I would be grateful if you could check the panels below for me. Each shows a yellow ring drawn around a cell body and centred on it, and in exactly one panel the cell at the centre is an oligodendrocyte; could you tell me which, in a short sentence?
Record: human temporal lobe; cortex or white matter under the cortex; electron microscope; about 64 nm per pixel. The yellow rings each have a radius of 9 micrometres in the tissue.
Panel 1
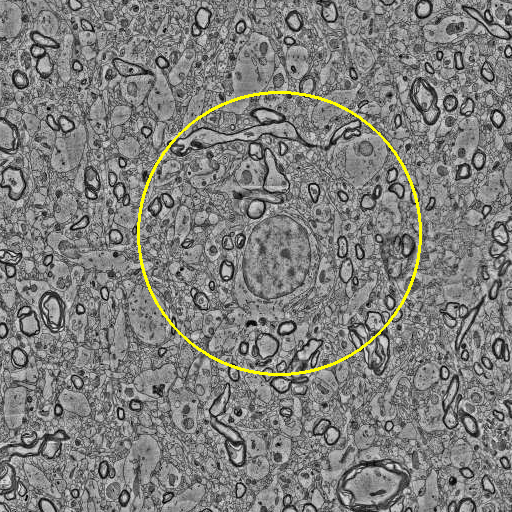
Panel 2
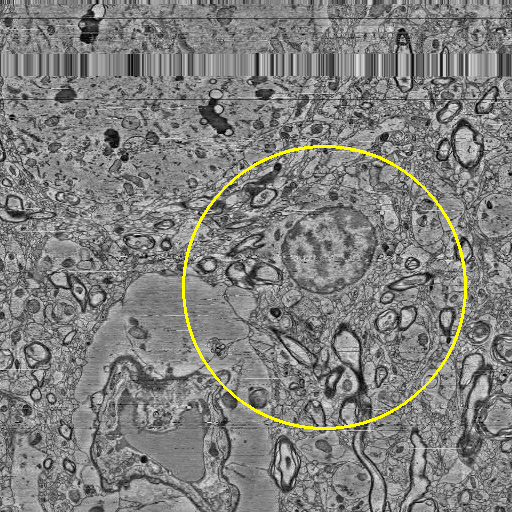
The ring in Panel 2 is centred on it.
